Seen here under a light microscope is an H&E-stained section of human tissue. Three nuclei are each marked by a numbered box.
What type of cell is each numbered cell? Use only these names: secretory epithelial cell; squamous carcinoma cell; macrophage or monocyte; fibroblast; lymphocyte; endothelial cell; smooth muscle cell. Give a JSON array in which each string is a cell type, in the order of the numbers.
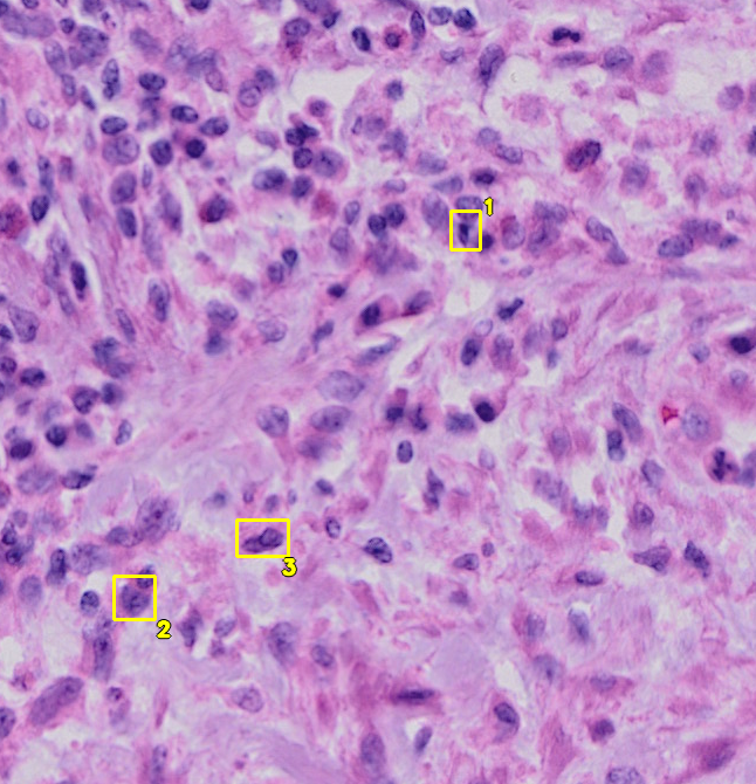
["lymphocyte", "macrophage or monocyte", "macrophage or monocyte"]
